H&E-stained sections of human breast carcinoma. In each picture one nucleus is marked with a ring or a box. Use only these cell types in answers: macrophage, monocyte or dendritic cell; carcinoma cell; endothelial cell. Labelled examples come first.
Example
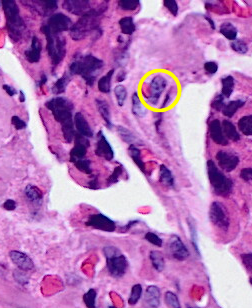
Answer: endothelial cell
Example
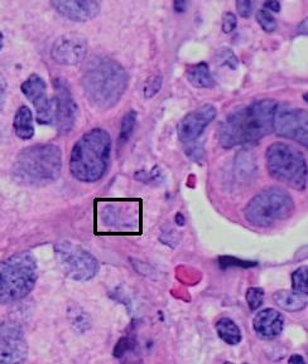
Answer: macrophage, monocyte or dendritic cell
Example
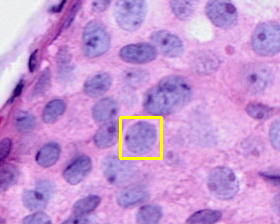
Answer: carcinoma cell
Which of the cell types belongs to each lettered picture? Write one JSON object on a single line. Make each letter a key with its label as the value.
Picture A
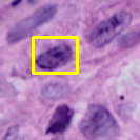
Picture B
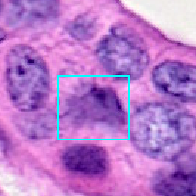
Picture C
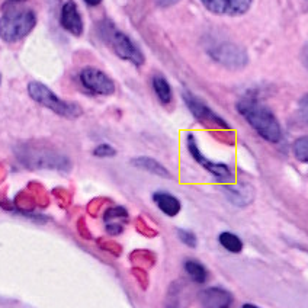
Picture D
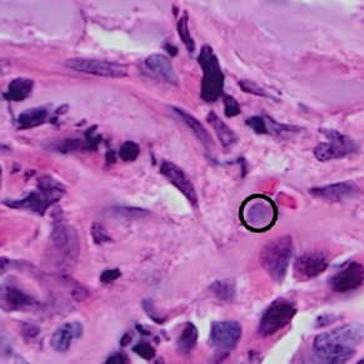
{"A": "macrophage, monocyte or dendritic cell", "B": "carcinoma cell", "C": "endothelial cell", "D": "endothelial cell"}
